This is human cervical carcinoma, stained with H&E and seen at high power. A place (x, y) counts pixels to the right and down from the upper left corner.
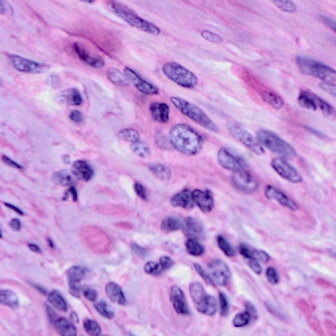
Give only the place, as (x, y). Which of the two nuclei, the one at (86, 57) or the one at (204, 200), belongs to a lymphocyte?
(204, 200)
